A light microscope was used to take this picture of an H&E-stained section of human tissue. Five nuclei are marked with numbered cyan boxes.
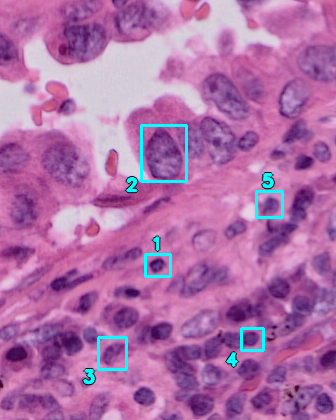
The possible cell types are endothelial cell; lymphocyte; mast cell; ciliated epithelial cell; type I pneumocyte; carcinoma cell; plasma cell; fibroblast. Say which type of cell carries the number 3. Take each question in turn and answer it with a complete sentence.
In this section, the cell tagged 3 is a plasma cell.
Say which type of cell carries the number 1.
The nucleus labeled 1 belongs to a lymphocyte.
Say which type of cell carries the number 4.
The cell assigned the number 4 is a lymphocyte.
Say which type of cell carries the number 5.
The identity of cell 5 is that of a lymphocyte.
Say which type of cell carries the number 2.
Identified as a carcinoma cell is the cell bearing the number 2.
